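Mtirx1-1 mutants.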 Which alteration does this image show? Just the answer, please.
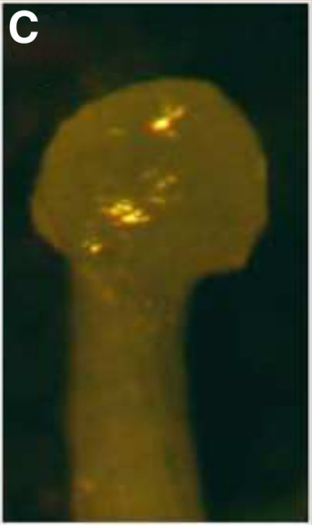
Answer: Smooth surface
